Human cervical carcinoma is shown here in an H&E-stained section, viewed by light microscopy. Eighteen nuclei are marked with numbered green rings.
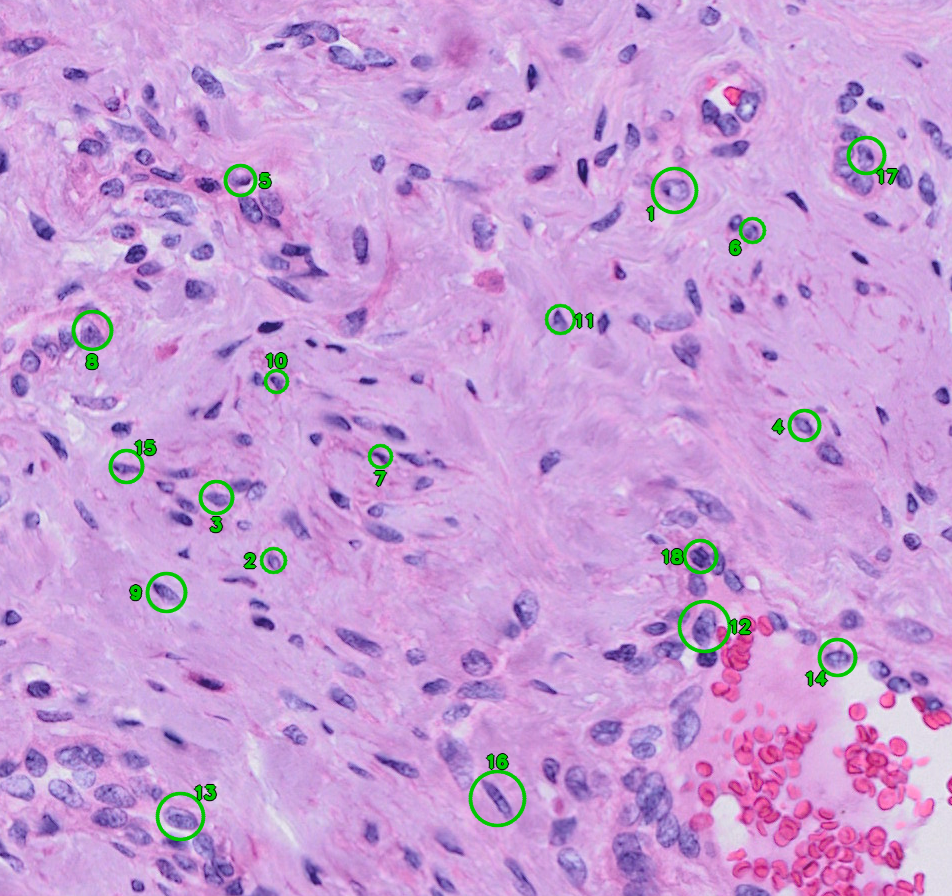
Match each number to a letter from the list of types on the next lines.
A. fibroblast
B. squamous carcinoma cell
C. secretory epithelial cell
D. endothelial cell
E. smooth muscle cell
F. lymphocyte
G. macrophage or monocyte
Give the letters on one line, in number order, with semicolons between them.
D; E; E; E; D; E; E; D; A; E; A; D; D; D; E; A; D; D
